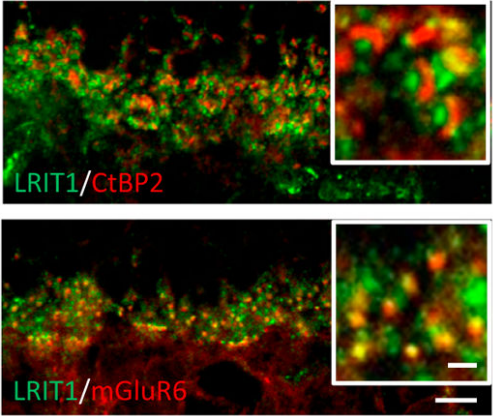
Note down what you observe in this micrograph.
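Two fluorescence images of the synaptic band of the retina, where photoreceptor terminals meet bipolar cell dendrites. In each, many small green puncta crowd a narrow horizontal band, mixed with red dots. In the upper image the red forms small curved arcs and blobs, with green dots lying beside them rather than on them. In the lower image red dots and a fainter red network lie below, and many green and red puncta coincide closely, giving yellow-orange spots.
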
